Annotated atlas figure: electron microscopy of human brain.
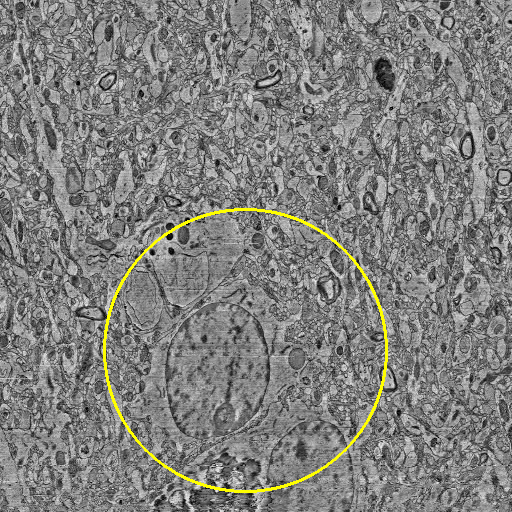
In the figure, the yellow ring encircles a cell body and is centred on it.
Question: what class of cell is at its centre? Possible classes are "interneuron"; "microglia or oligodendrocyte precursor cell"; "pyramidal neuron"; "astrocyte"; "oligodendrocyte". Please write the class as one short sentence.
The yellow ring is drawn around an astrocyte.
